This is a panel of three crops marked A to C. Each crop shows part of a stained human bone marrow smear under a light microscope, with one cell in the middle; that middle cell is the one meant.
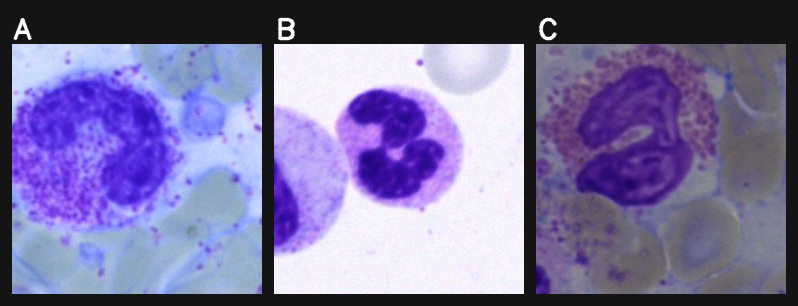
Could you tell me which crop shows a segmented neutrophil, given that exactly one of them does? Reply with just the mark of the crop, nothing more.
B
